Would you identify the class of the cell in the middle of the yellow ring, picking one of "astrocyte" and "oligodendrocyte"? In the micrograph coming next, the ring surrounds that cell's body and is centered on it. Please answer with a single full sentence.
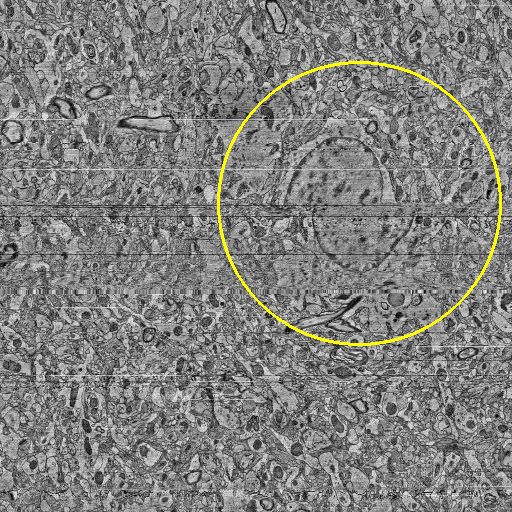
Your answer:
In the micrograph, it is an astrocyte whose body lies at the ring's center.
